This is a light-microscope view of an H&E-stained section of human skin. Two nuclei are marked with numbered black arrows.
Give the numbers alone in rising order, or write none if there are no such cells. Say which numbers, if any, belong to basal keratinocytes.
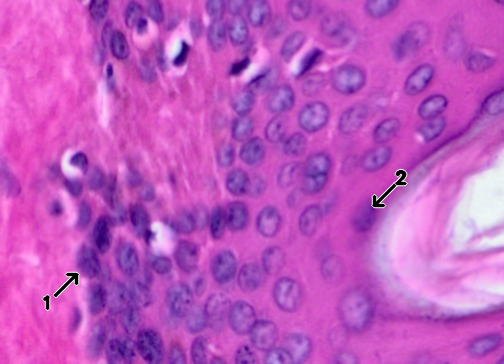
1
